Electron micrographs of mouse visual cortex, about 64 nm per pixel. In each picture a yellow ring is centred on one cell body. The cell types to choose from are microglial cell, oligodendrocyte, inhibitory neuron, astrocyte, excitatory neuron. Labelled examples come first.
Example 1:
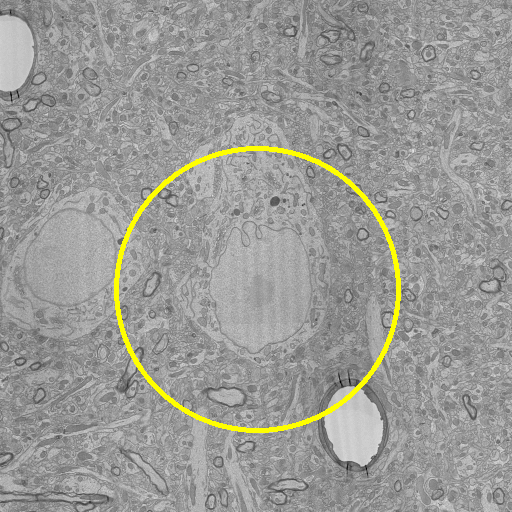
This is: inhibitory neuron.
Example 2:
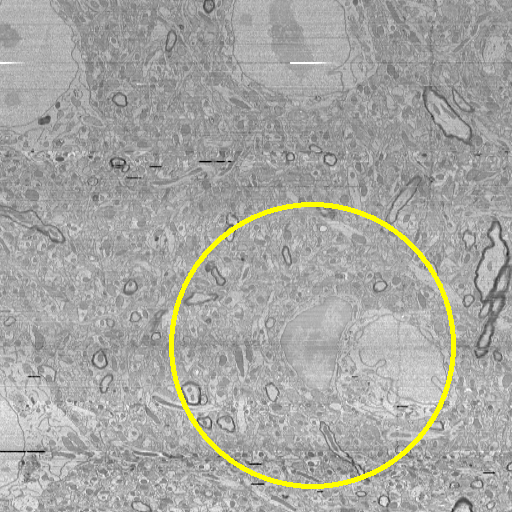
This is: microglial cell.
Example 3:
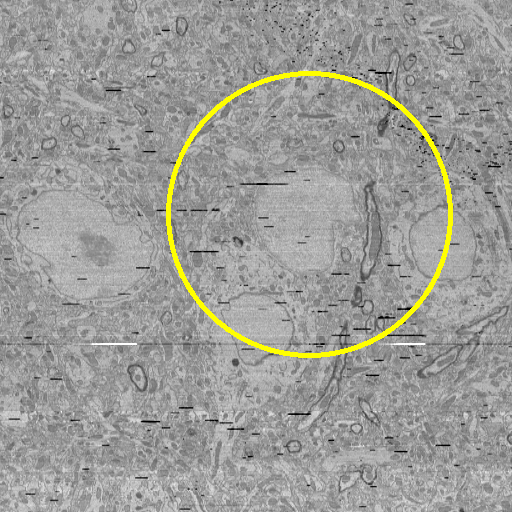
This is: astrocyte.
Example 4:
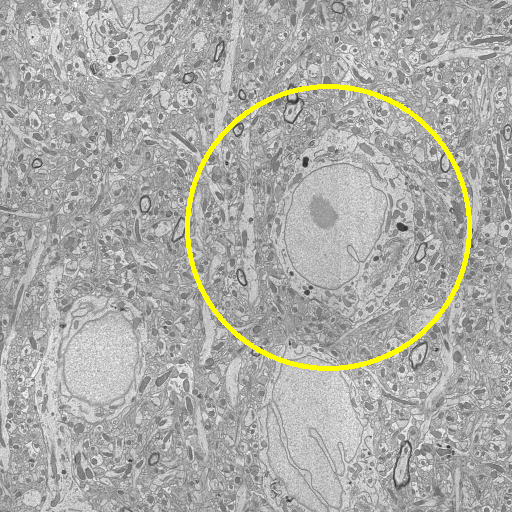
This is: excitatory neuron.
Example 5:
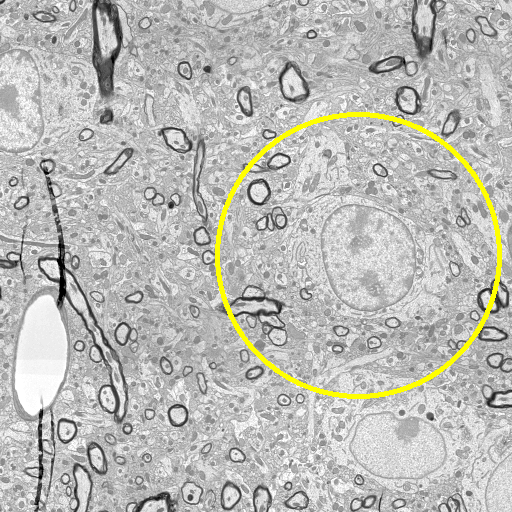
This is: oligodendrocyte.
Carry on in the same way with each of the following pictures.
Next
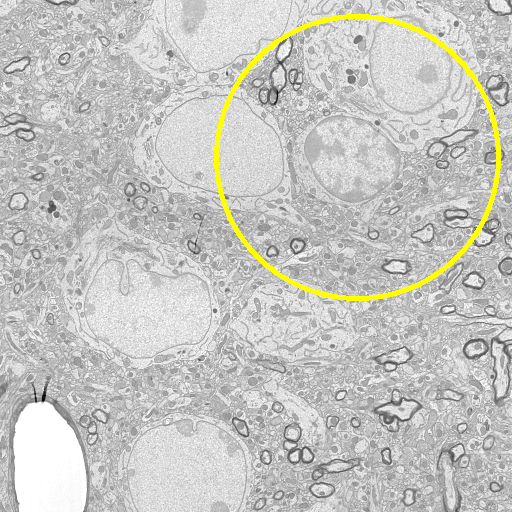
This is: oligodendrocyte.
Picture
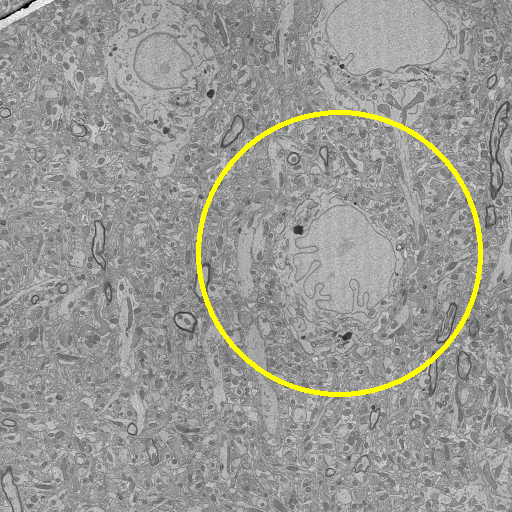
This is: inhibitory neuron.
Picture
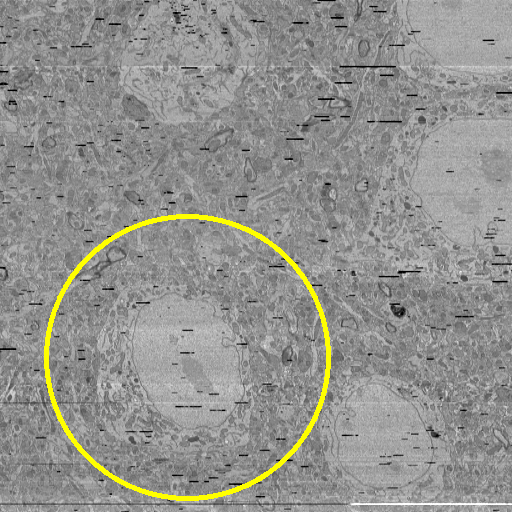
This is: inhibitory neuron.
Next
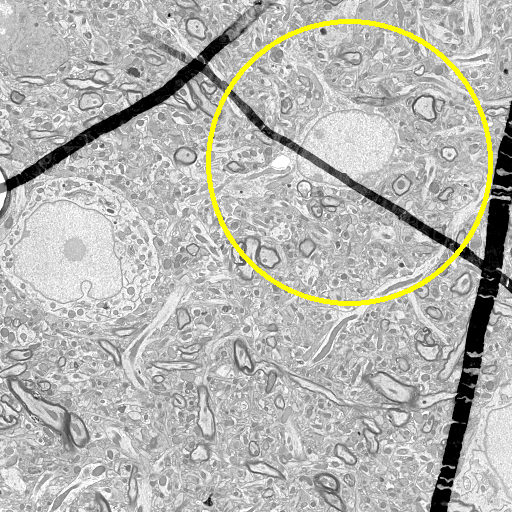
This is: astrocyte.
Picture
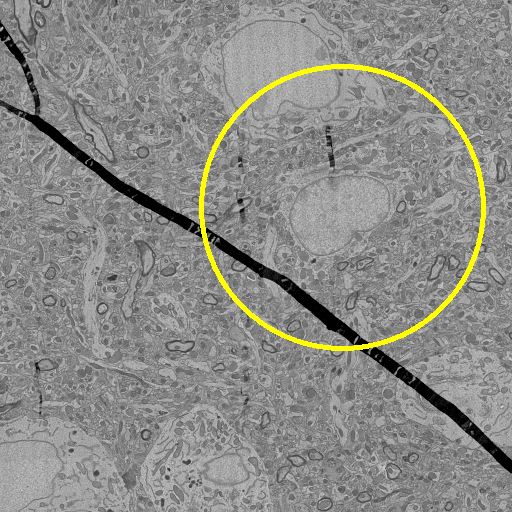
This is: astrocyte.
